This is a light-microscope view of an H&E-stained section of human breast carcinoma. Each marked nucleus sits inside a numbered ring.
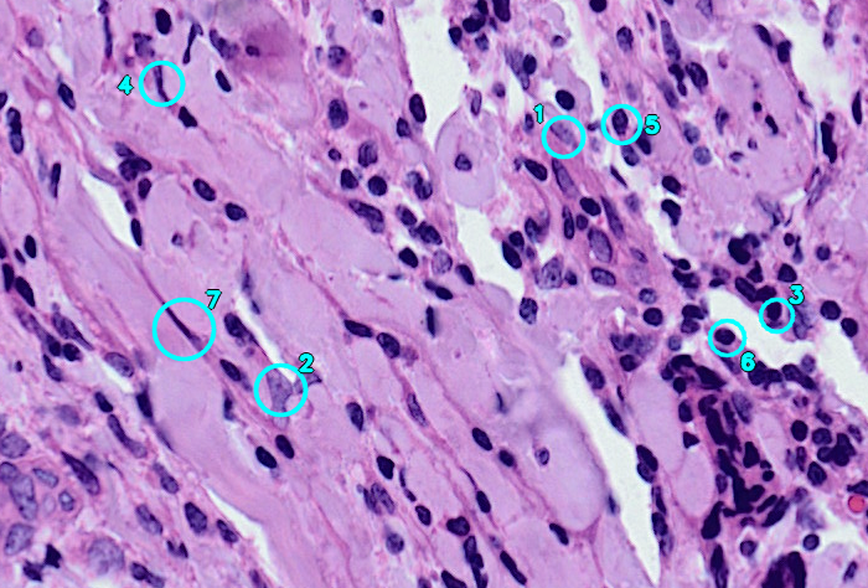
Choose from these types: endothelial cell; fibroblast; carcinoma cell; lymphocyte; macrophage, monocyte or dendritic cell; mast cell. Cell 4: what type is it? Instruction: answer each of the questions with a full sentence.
Heads up, the cell numbered 4 is a fibroblast.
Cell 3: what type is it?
The label 3 in this section denotes a lymphocyte.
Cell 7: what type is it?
Identified by the number 7, the cell is a fibroblast.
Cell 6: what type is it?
Among the marked nuclei, number 6 belongs to a lymphocyte.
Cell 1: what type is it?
Cell 1 in the field of view is an endothelial cell.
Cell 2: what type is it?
What the number 2 marks in this field is a fibroblast.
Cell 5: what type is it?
Identified as a lymphocyte is the cell bearing the number 5.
